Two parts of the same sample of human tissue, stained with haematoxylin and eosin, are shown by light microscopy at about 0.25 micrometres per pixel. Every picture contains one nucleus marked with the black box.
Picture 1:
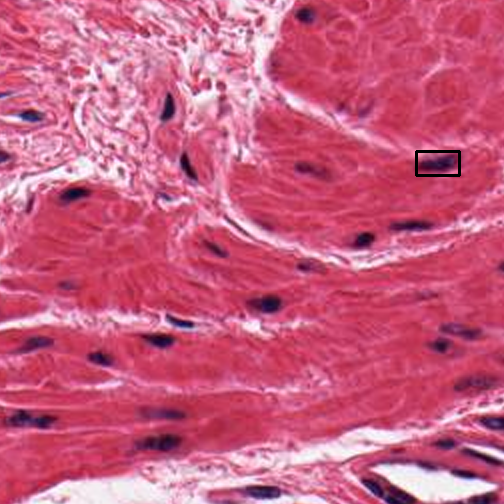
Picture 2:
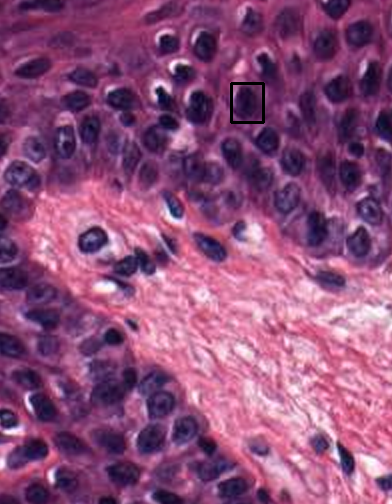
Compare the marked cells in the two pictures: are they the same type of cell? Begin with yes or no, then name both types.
No, the first is a smooth muscle cell and the second a squamous epithelial cell.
